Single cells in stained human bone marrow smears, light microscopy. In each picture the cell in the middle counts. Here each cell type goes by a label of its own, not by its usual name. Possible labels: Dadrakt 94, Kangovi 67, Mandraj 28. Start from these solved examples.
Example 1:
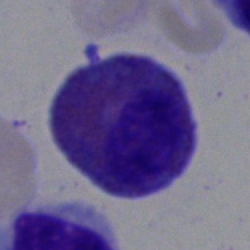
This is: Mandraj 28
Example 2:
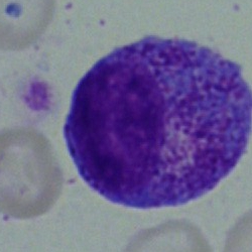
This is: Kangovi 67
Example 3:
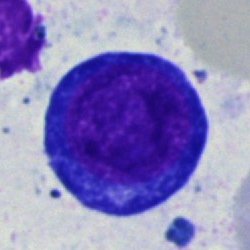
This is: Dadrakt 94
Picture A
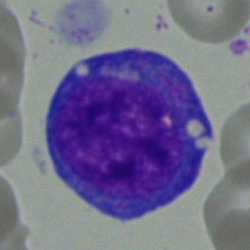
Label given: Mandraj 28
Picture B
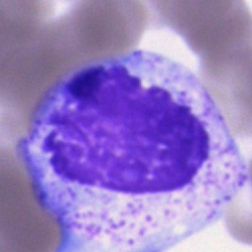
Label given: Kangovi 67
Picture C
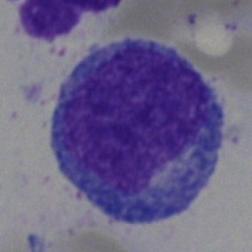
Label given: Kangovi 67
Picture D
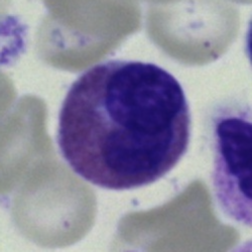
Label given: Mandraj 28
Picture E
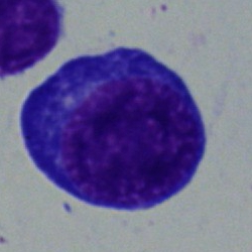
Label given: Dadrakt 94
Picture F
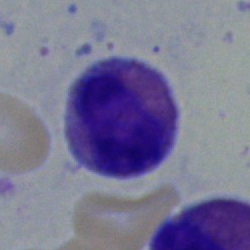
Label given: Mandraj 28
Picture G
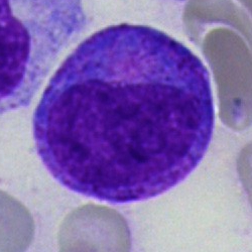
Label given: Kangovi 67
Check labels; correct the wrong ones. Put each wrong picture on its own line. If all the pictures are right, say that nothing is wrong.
A: Kangovi 67, not Mandraj 28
